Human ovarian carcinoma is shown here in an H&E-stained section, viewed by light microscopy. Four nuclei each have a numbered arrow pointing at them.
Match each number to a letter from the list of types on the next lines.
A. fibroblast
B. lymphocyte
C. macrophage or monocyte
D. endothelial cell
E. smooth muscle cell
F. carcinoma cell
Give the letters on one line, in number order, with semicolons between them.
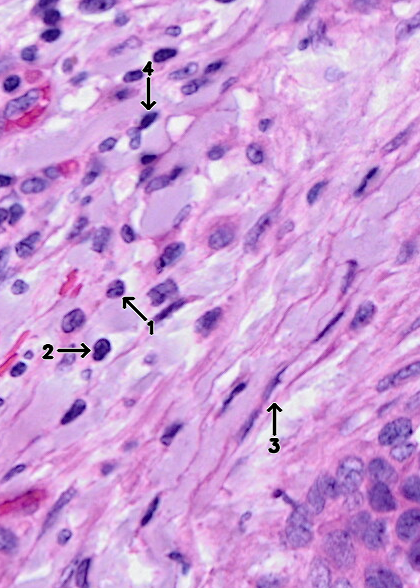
B; B; A; B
